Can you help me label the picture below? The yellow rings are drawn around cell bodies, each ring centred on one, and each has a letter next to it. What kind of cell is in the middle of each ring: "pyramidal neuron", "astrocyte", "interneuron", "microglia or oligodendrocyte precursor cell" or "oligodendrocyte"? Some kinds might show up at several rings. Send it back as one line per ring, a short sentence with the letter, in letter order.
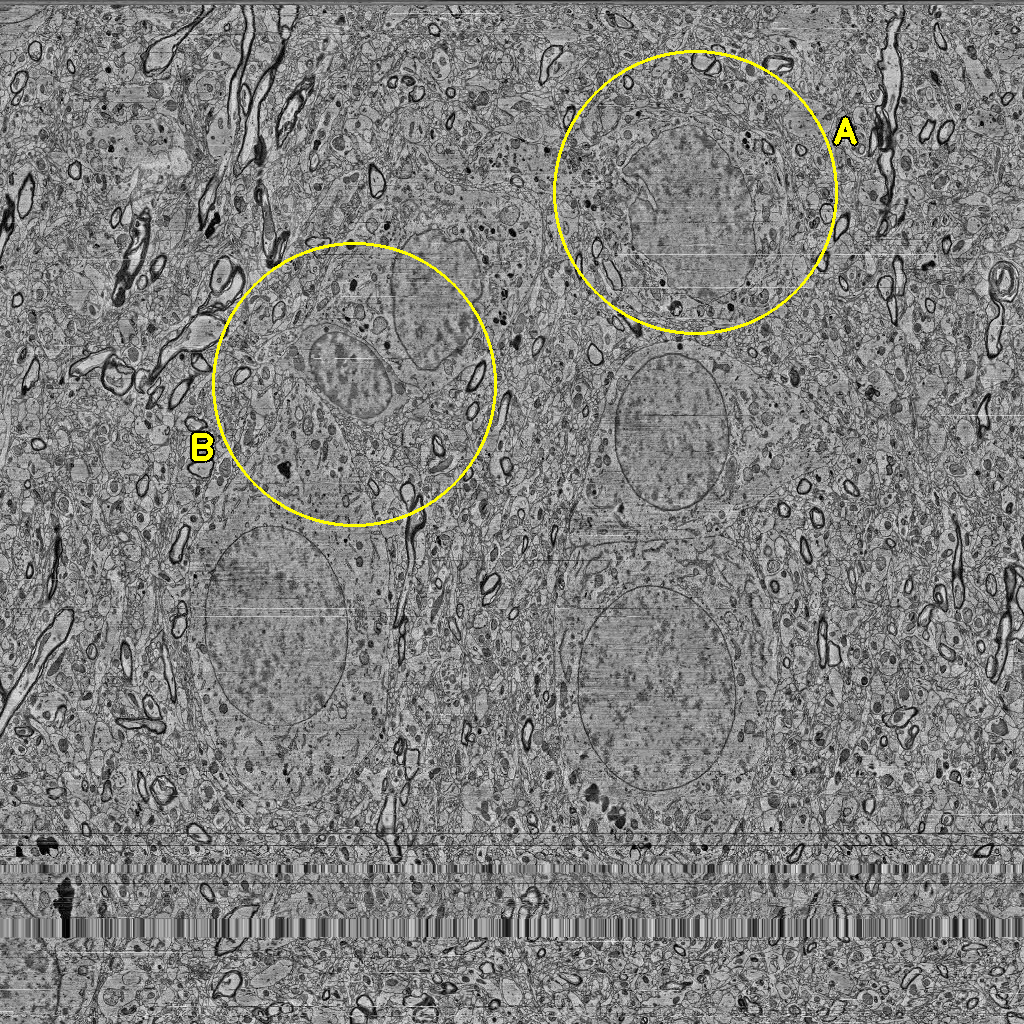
Ring A has an interneuron in the middle.
Ring B has an oligodendrocyte in the middle.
